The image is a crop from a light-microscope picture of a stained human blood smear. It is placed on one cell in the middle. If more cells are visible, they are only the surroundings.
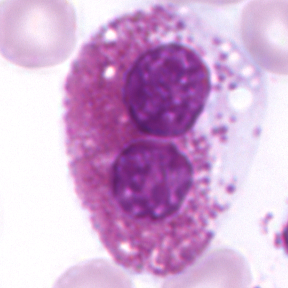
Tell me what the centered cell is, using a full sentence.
Looking at the middle of the crop, the cell there is an eosinophil.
